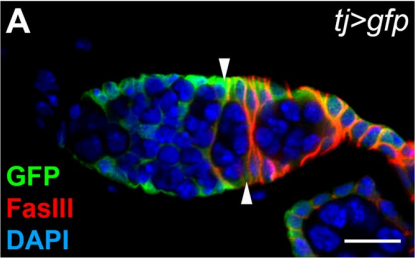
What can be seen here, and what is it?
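This is a germarium, the anterior tip of an ovariole, with round blue nuclei of germline cells packed in the middle and thin somatic cells at the surface. Green outlines the somatic cells along the whole length, from the thin escort cells wrapping the anterior germ cells to the cells covering the cysts further back. About midway, at the arrowheads, red membrane staining begins as lines crossing the germarium, marking where somatic cells start to separate and enclose cysts; posterior to that the red outlines grow denser and surround a budding cyst at the right edge, where the green and red overlap in the covering cells.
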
